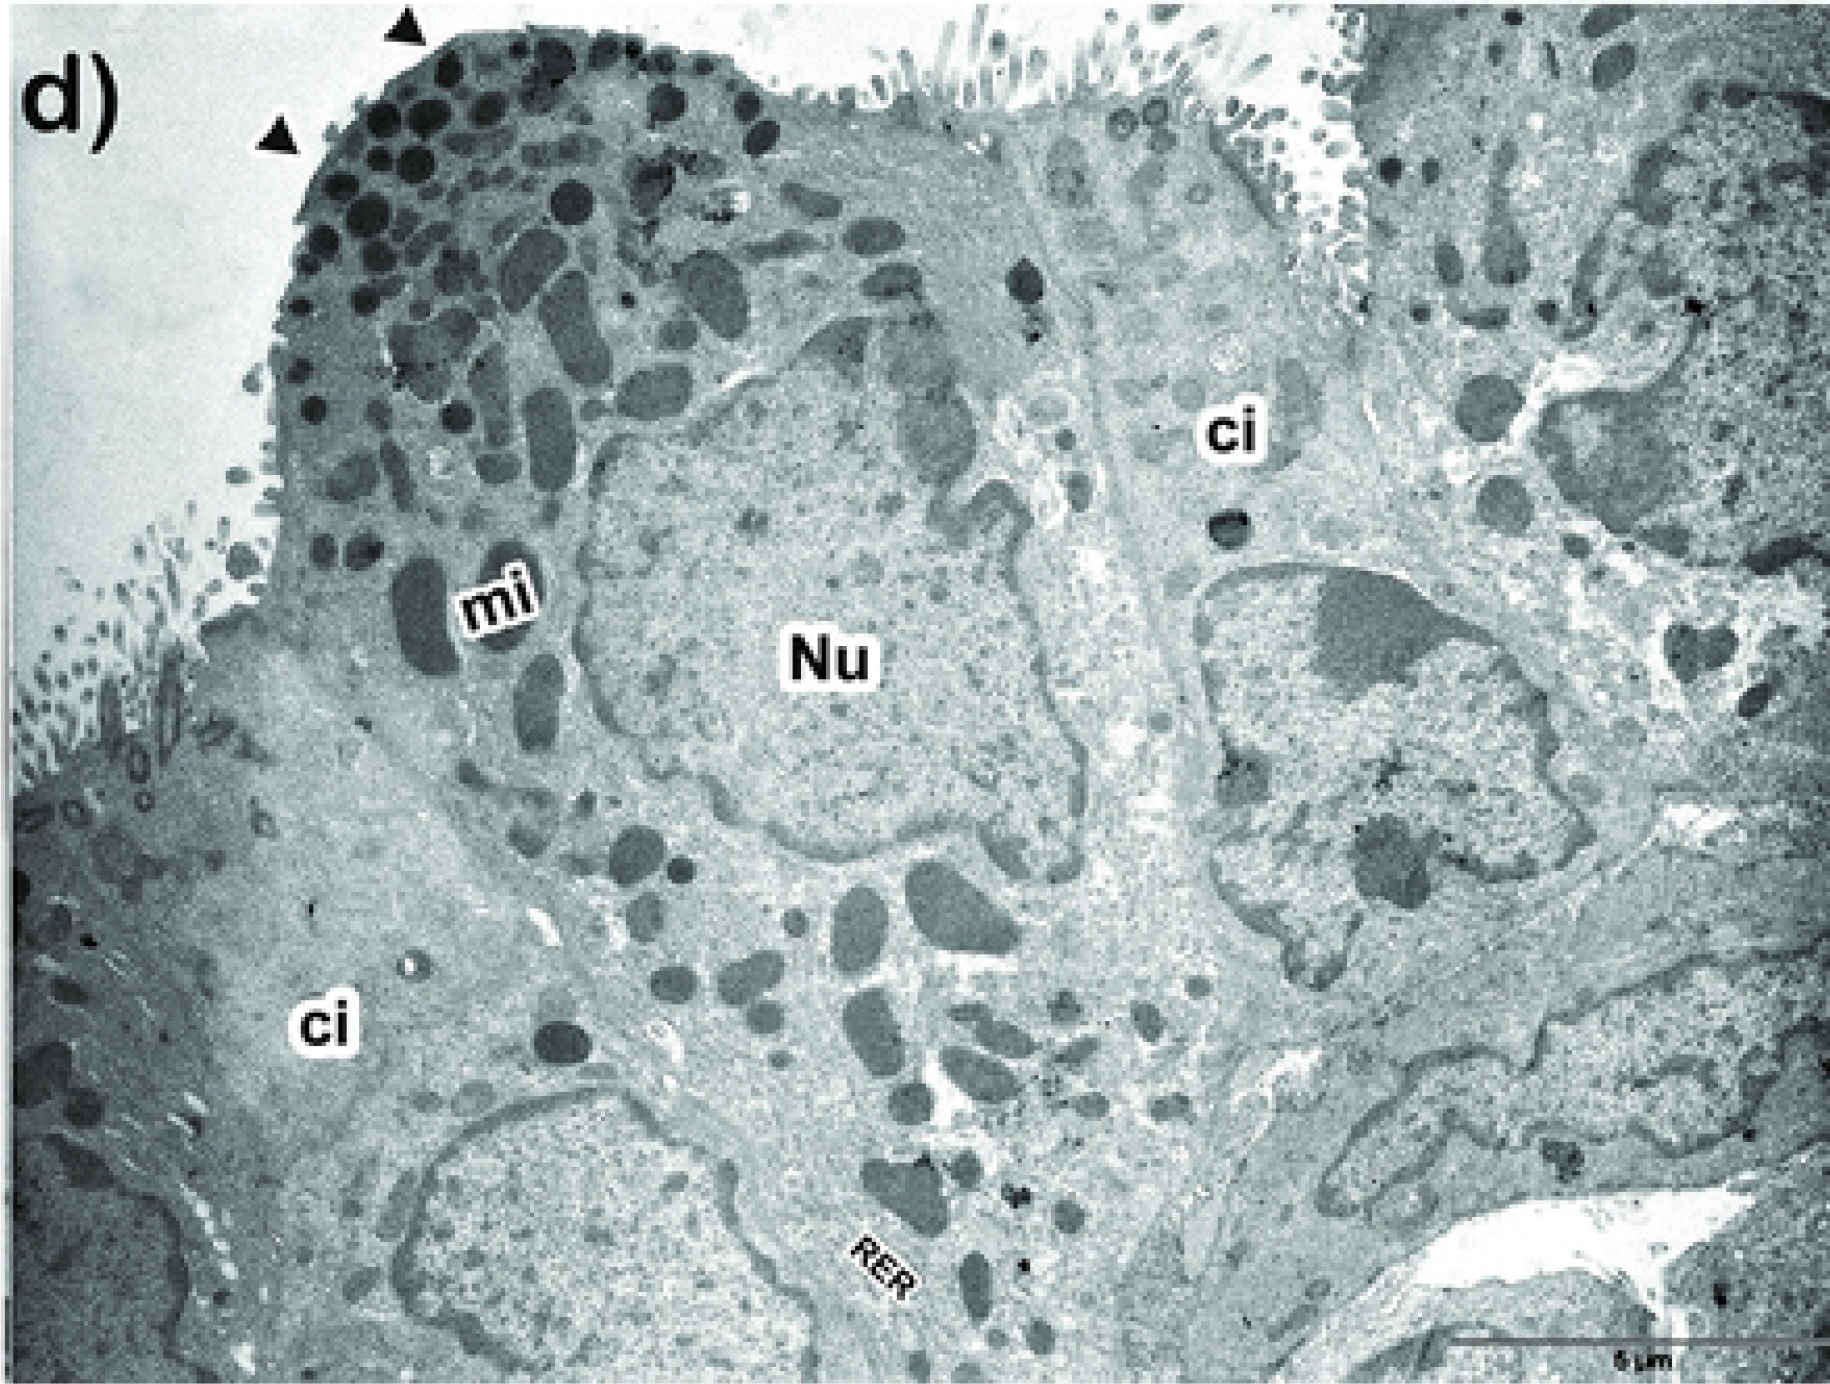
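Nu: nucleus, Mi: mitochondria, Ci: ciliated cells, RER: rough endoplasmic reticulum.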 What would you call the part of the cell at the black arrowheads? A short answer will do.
electron dense granules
